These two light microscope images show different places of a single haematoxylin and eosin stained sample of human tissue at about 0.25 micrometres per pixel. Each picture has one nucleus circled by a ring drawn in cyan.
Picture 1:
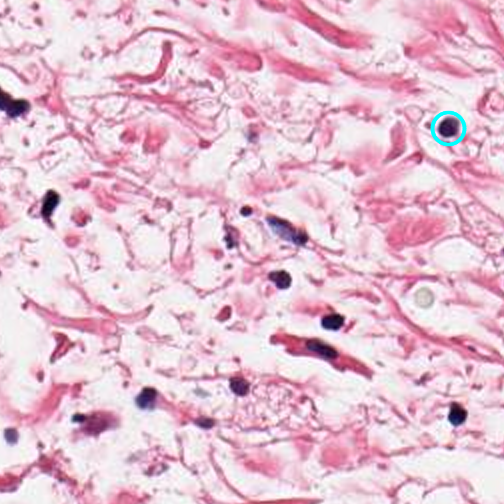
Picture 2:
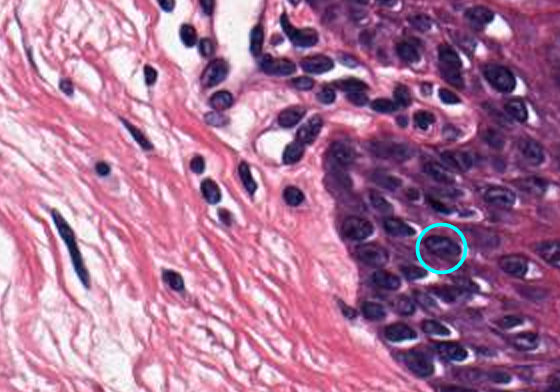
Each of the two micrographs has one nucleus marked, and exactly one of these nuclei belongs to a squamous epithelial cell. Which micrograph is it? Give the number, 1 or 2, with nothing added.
2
